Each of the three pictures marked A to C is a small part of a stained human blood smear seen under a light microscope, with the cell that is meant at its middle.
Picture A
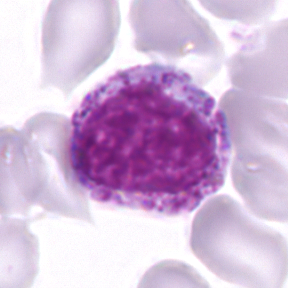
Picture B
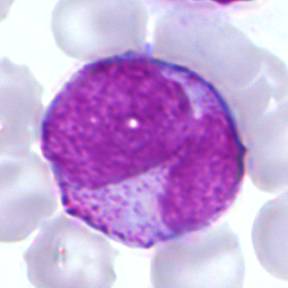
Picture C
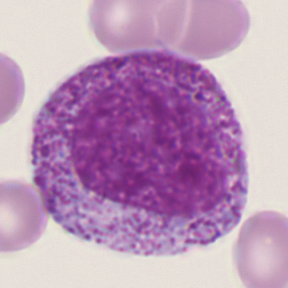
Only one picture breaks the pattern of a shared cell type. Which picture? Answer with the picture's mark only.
A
